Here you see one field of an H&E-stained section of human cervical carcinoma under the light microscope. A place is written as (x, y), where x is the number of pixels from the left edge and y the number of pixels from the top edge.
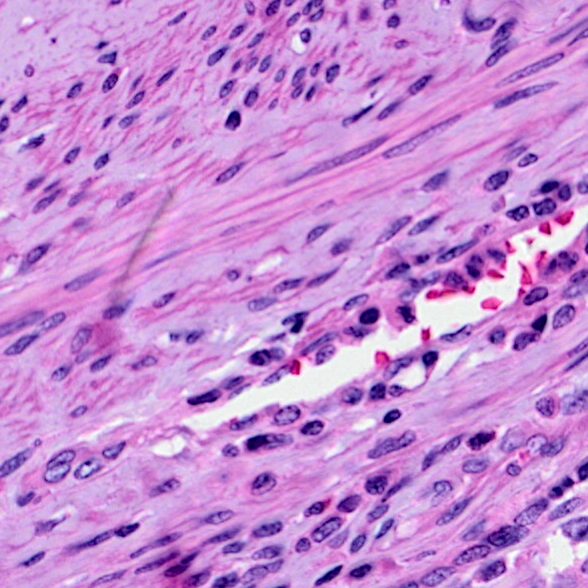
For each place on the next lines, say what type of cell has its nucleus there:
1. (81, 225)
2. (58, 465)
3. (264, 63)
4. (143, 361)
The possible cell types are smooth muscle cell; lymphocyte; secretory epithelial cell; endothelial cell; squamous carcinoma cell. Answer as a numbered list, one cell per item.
1. smooth muscle cell
2. endothelial cell
3. smooth muscle cell
4. smooth muscle cell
